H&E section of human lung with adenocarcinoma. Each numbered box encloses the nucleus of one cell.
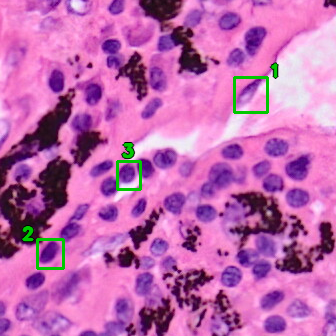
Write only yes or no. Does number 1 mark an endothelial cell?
yes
